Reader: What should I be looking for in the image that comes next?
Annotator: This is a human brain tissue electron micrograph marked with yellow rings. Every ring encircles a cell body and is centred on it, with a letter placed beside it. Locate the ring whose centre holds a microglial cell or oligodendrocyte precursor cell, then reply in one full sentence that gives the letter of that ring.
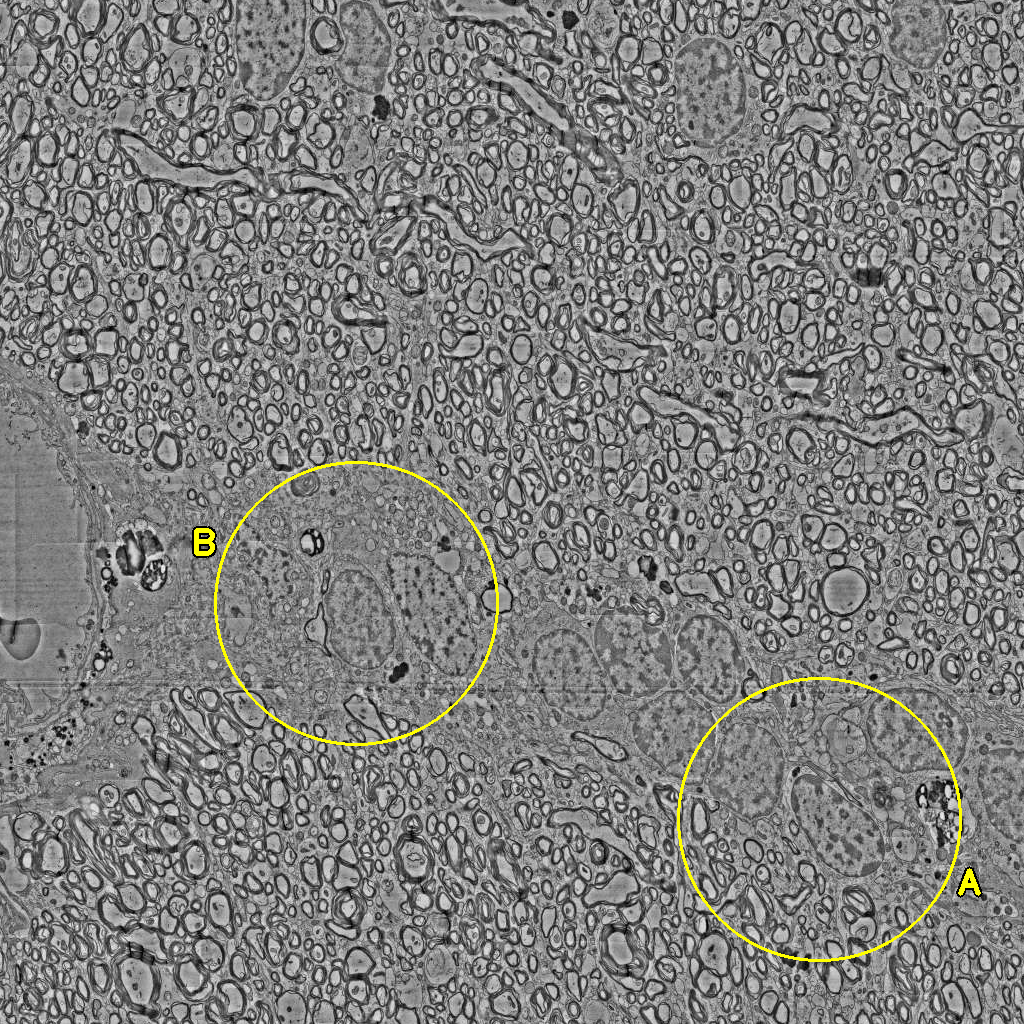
The ring centred on the cell asked for is the one labelled A.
